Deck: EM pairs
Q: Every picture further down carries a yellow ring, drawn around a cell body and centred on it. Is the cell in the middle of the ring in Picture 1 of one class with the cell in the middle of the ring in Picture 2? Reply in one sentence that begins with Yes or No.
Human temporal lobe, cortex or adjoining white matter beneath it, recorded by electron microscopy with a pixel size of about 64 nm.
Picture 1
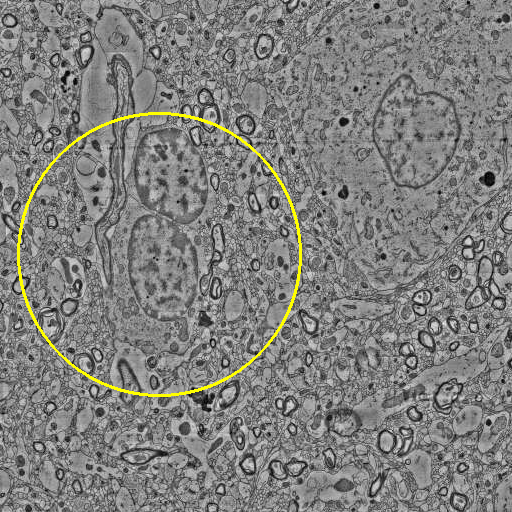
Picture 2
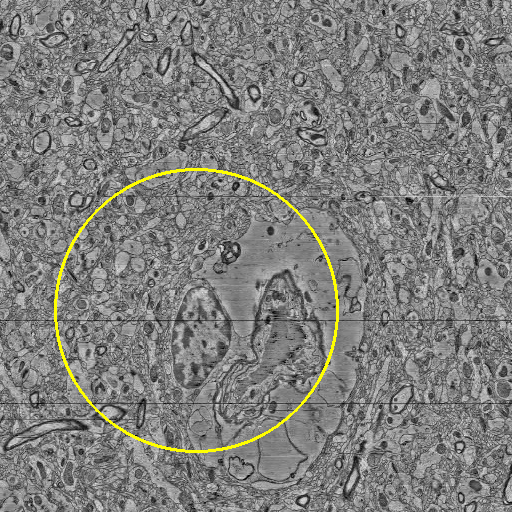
No, the cell centred in the ring of Picture 1 and the one in Picture 2 belong to separate classes.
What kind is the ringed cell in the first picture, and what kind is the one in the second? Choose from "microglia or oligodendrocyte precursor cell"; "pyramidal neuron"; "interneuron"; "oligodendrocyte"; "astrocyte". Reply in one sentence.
The first cell is an oligodendrocyte; the second is a microglial cell or oligodendrocyte precursor cell.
